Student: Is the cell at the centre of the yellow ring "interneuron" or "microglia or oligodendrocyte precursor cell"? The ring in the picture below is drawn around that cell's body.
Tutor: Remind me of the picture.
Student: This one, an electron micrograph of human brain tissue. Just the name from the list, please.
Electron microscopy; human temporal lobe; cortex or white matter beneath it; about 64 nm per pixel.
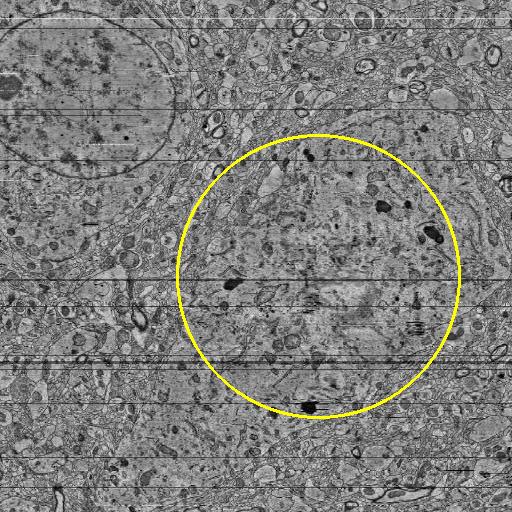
microglia or oligodendrocyte precursor cell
